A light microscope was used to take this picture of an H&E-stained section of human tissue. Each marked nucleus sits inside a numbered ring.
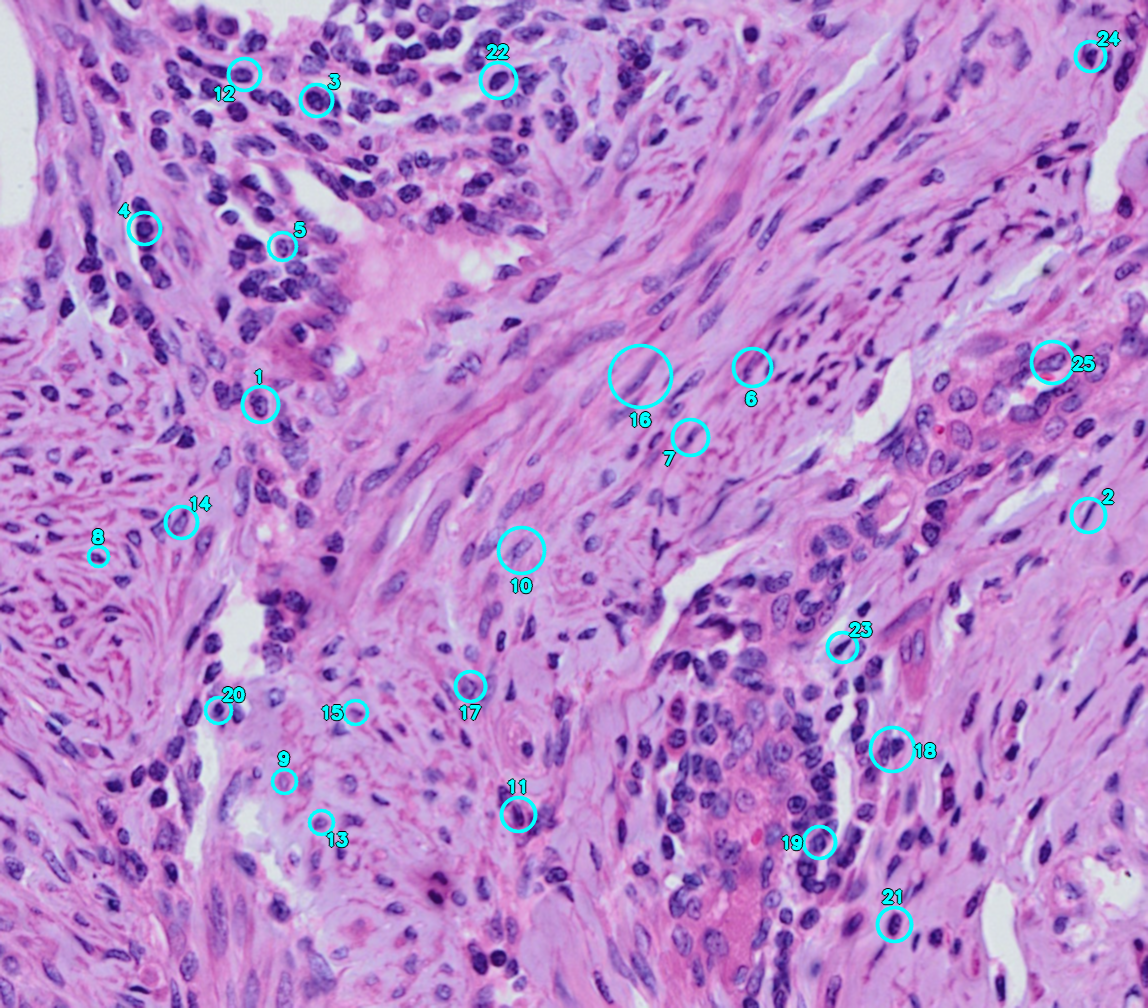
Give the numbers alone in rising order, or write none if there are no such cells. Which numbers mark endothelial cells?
25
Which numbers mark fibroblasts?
2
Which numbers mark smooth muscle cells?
6, 7, 8, 9, 10, 13, 14, 15, 16, 17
